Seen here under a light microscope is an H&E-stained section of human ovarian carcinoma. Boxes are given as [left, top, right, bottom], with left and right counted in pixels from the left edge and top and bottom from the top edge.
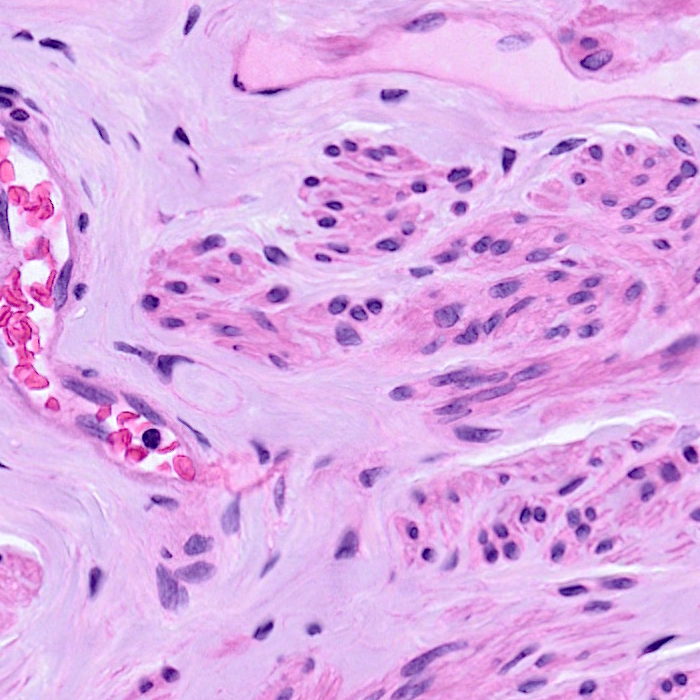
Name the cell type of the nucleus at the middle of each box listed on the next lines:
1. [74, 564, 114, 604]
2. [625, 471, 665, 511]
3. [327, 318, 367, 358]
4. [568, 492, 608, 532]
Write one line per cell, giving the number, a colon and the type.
1: fibroblast
2: smooth muscle cell
3: smooth muscle cell
4: smooth muscle cell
